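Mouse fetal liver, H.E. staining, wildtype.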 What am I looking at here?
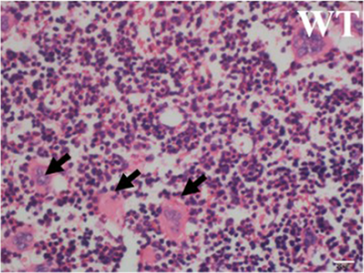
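The section is packed with small round cells bearing dark purple nuclei, lying in dense sheets with a few pale gaps between them. Among them stand a few much larger cells with wide pink cytoplasm and big, irregular, lobed purple nuclei, each set apart from its neighbours. Scattered pinker cells lie here and there among the small ones.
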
